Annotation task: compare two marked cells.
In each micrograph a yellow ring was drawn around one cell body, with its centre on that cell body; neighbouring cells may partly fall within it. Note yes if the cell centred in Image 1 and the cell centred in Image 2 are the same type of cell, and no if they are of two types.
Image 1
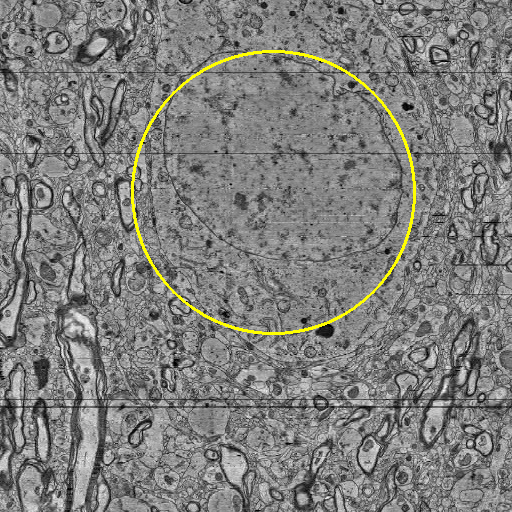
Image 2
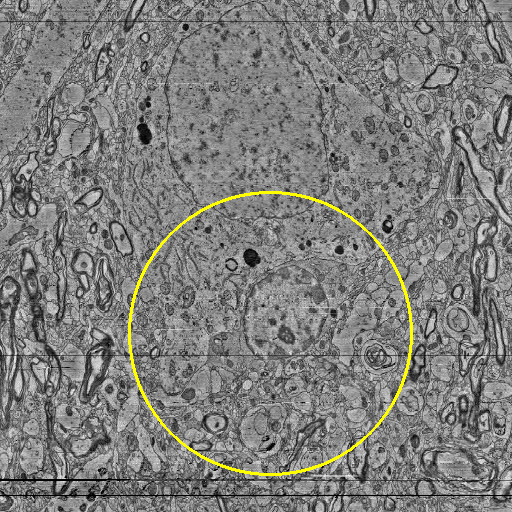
no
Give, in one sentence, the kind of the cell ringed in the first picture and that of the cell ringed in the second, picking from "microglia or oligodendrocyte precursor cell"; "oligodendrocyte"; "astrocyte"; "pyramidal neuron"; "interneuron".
For the first picture it is a pyramidal neuron; for the second, an oligodendrocyte.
